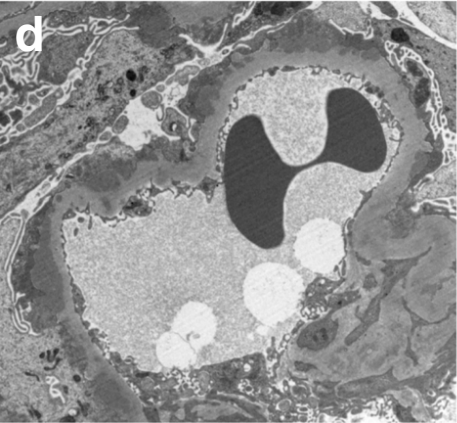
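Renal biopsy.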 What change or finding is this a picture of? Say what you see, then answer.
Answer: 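Dark dense deposits lie along the outer side of the capillary basement membrane. A capillary lumen with a red blood cell is in the center.
Subepithelial electron-dense deposits.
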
